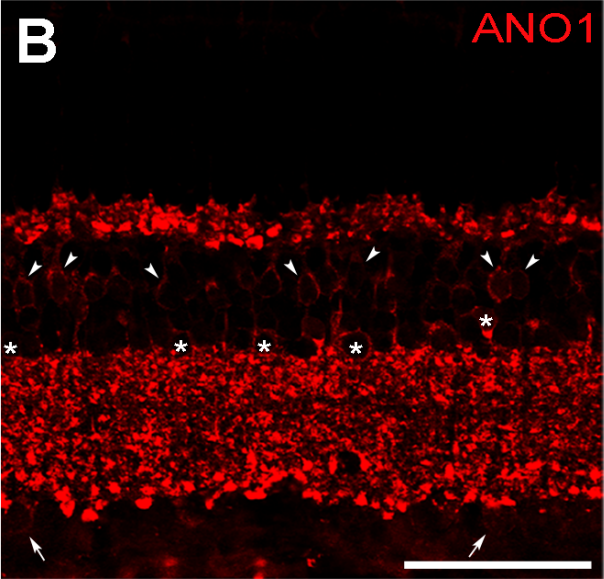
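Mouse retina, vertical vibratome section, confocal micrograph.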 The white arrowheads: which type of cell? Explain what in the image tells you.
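Arrowheads point to round cell bodies with faint red rims in the outer part of the middle cell layer. These cell bodies lie just below the thin upper band of red puncta. That points to this answer: bipolar.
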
